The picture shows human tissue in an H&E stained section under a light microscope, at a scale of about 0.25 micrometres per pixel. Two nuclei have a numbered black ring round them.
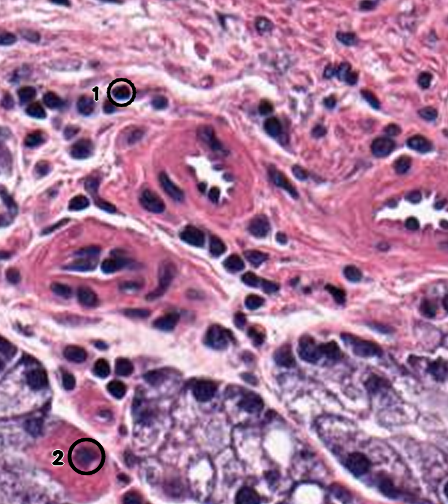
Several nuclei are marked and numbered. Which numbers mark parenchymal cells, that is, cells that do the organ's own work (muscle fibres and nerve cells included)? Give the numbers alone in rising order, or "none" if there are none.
2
